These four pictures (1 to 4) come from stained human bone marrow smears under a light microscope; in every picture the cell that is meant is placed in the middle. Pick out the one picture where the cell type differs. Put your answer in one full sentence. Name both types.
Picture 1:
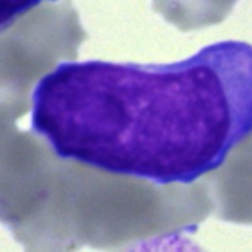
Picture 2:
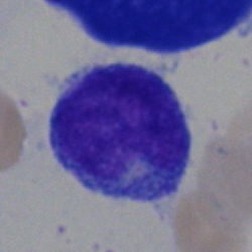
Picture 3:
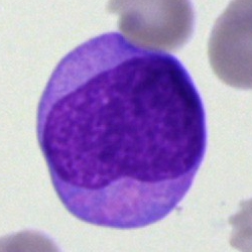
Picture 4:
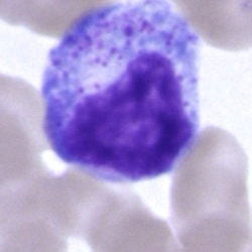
The different one is picture 4; it shows a promyelocyte, whereas all the others show blasts.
